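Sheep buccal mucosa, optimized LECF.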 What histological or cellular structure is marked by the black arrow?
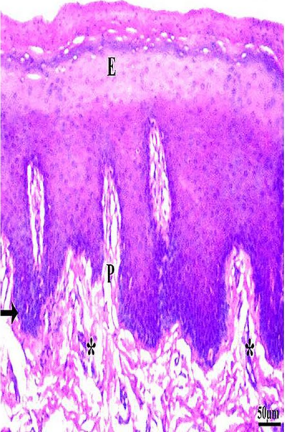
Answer: rete pegs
